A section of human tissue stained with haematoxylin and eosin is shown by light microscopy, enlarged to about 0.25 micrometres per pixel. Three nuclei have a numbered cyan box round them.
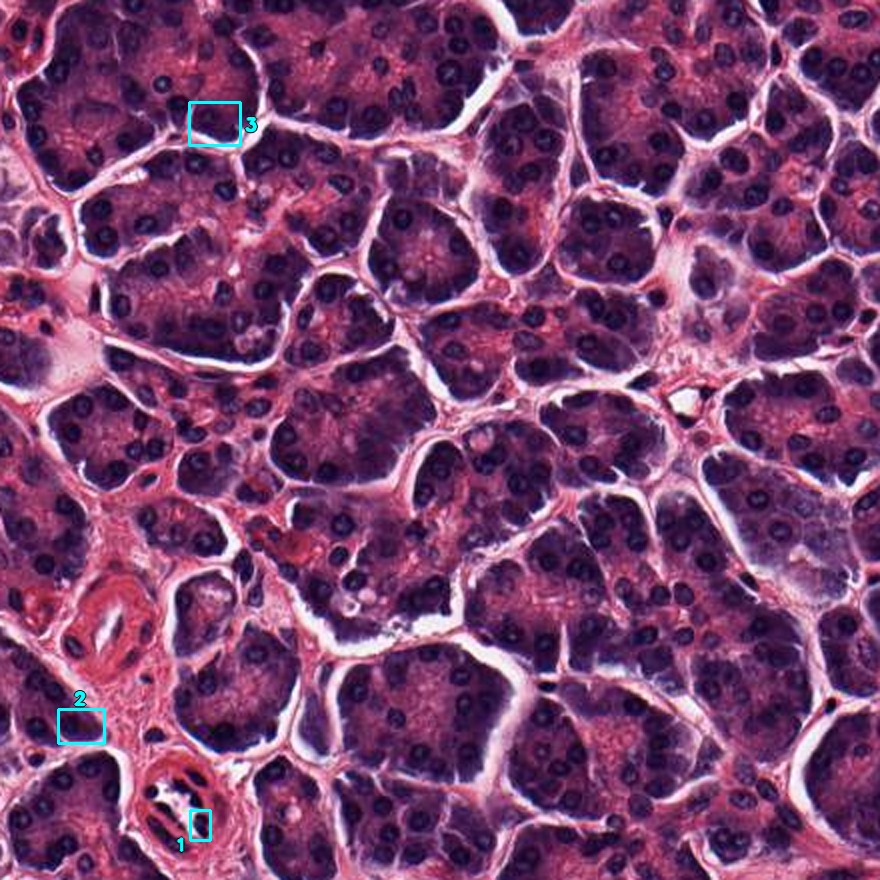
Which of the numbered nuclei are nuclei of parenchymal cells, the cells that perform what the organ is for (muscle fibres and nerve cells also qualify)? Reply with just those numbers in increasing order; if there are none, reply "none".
2, 3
